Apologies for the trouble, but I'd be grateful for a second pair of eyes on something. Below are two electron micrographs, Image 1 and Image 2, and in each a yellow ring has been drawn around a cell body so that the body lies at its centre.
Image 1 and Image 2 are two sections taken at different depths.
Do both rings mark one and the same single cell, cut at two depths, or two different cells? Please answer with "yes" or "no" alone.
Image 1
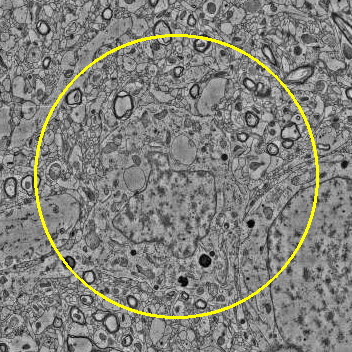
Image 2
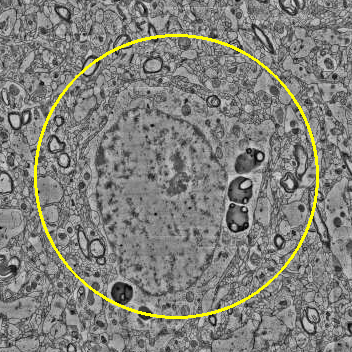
no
